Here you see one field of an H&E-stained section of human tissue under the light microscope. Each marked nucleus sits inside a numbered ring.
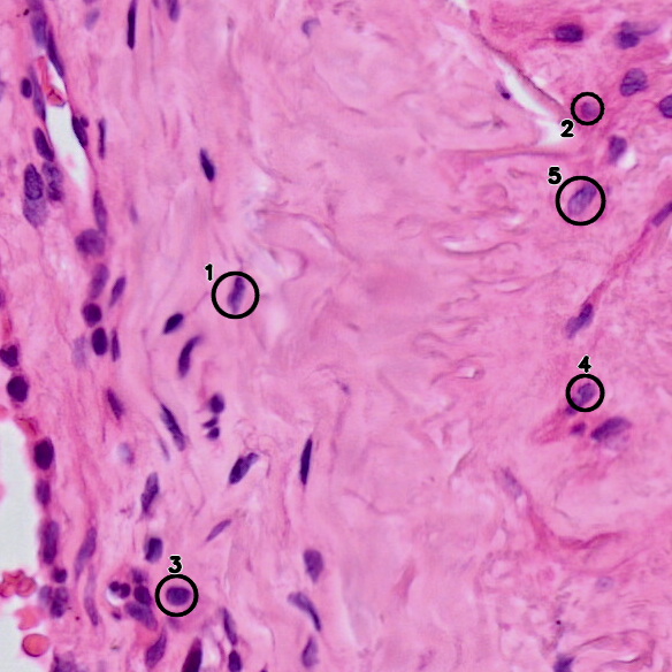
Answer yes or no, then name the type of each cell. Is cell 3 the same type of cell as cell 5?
No, cell 3 is a lymphocyte and cell 5 is a smooth muscle cell or pericyte.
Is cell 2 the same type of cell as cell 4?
Yes, both are smooth muscle cells or pericytes.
